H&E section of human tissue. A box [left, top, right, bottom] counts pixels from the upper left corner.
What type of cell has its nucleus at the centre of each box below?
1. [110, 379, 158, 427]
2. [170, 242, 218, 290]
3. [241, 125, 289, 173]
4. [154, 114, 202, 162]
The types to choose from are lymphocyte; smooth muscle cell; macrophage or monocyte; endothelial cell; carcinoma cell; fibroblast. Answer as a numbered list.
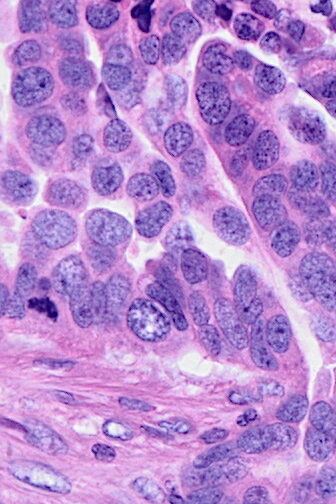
1. fibroblast
2. carcinoma cell
3. carcinoma cell
4. carcinoma cell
